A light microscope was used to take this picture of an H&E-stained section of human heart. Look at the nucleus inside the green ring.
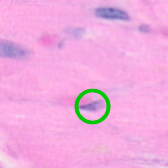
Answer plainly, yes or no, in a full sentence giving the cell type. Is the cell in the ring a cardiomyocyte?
No, it is not as a cardiomyocyte but as an endothelial cell that the cell in the ring is classed.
